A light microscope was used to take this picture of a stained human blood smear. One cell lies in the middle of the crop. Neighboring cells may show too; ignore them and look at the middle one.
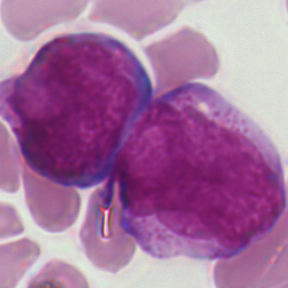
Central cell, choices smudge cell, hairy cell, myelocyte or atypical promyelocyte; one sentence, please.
In this crop, the cell at the very middle is an atypical promyelocyte.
